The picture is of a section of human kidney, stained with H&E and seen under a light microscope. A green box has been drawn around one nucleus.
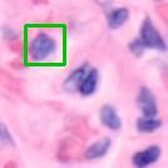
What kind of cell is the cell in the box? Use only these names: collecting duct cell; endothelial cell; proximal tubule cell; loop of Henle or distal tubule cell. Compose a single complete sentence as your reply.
It is as an endothelial cell that the cell in the box is classified.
